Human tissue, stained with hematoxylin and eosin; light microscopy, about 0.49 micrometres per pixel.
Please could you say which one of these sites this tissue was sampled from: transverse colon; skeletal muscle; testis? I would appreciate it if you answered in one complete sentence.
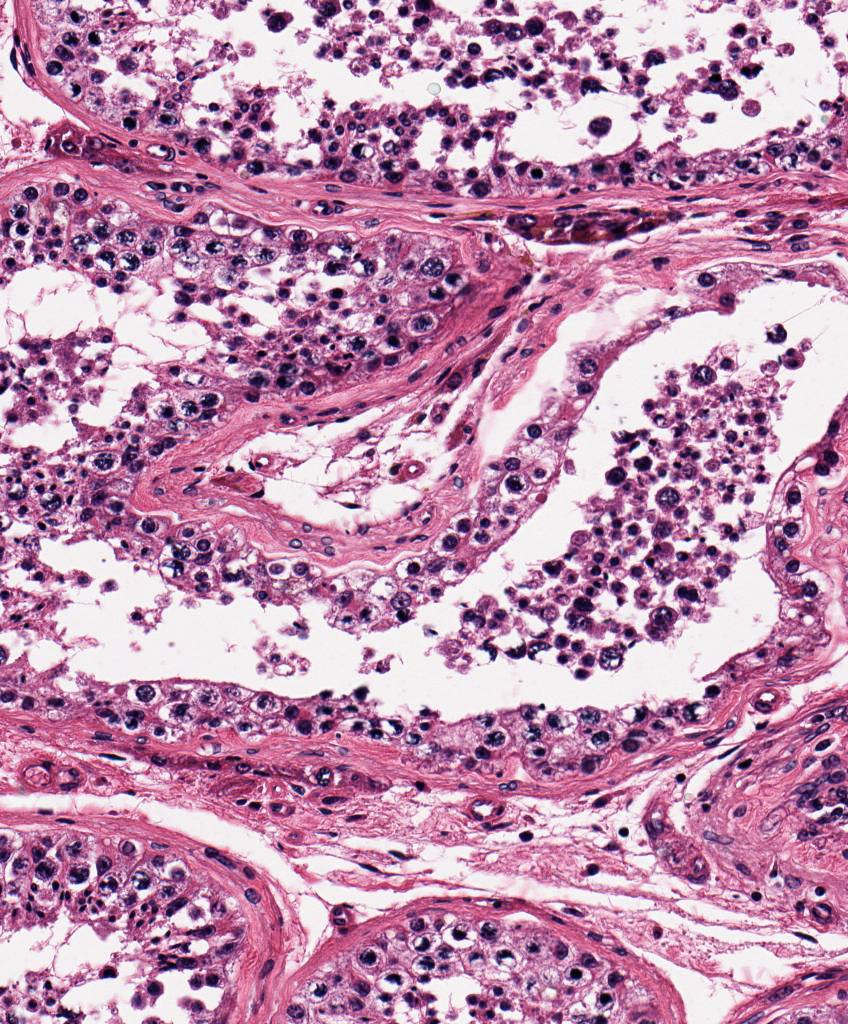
Sampling of this tissue was done from the testis.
